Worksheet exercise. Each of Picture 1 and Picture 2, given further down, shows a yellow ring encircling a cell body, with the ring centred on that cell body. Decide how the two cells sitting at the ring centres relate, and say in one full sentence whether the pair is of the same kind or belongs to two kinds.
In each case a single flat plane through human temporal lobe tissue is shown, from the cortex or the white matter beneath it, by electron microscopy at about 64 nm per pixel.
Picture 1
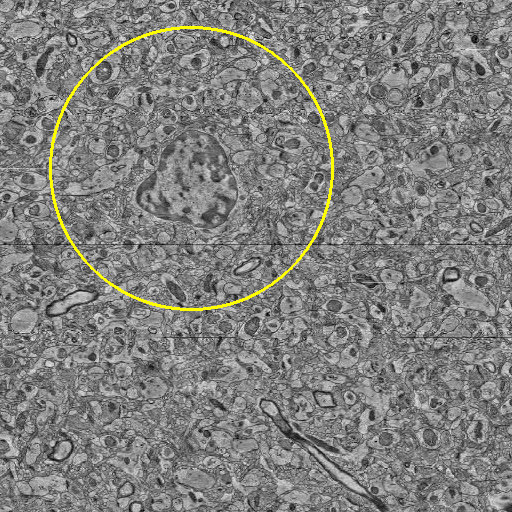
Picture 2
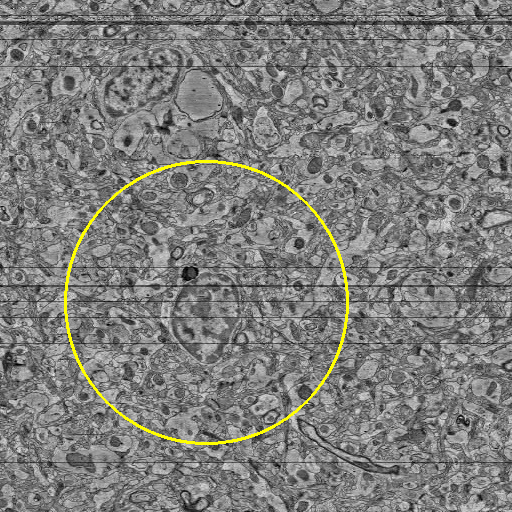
The cells at the ring centres in Picture 1 and Picture 2 are of the same kind.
